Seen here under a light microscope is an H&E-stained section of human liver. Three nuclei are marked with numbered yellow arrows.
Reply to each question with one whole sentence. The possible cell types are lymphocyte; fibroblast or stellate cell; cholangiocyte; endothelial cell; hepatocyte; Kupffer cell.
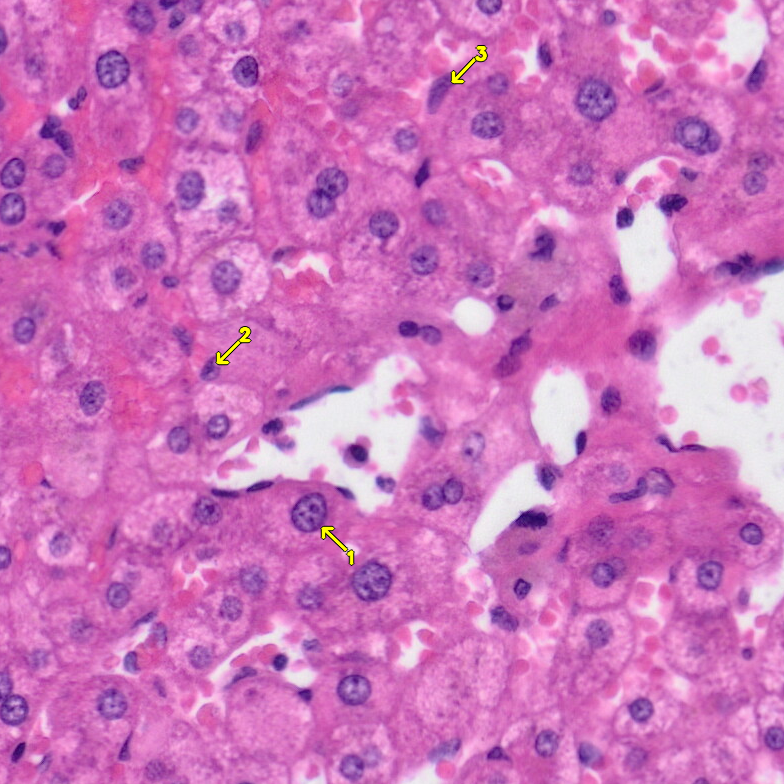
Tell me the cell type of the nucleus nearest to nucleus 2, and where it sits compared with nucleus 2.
It is an endothelial cell, whose nucleus lies above and to the left of nucleus 2.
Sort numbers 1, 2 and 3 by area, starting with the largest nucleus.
By area, largest first, they run 1, 3, 2.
